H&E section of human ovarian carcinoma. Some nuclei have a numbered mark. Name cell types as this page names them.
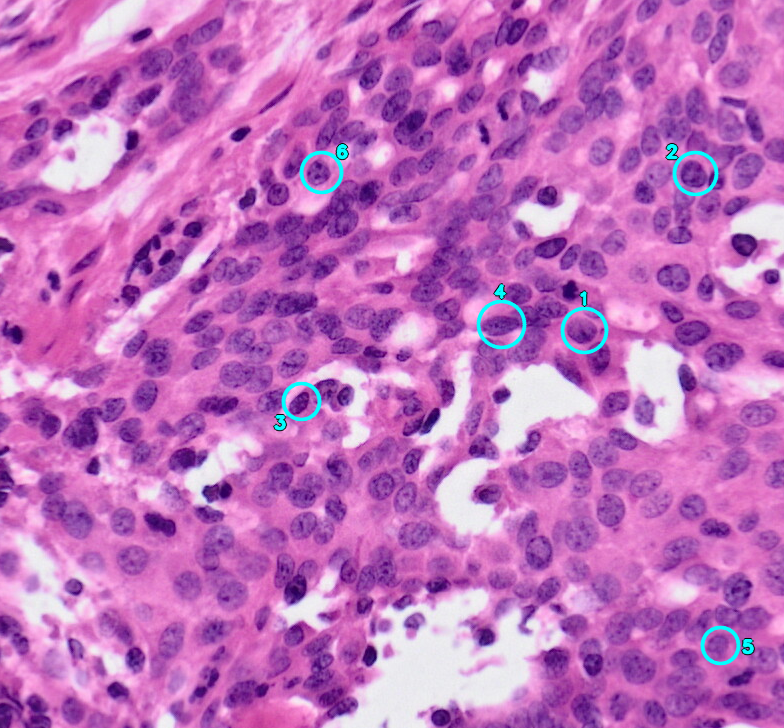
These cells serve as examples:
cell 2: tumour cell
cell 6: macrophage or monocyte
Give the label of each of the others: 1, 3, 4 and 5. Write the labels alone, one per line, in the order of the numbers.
tumour cell
macrophage or monocyte
tumour cell
tumour cell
